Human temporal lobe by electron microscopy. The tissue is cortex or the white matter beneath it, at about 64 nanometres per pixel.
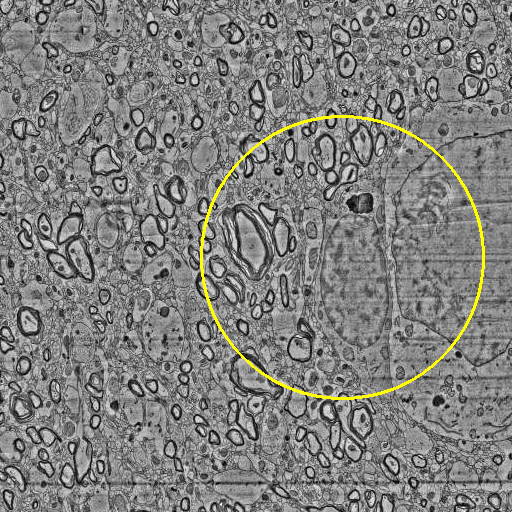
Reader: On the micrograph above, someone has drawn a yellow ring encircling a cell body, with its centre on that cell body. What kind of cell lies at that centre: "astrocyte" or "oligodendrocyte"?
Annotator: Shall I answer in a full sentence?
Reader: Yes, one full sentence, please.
Here an oligodendrocyte sits at the centre of the yellow ring drawn on the micrograph.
